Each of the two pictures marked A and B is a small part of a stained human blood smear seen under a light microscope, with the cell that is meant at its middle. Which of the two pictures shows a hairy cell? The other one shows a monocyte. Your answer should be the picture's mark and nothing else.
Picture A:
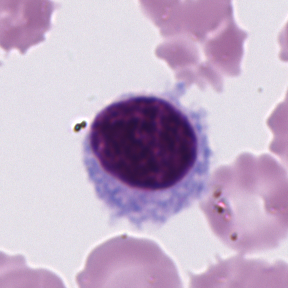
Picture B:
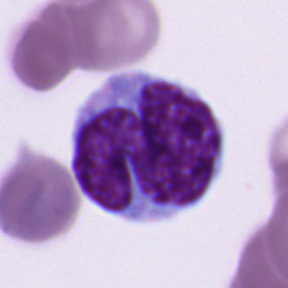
A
